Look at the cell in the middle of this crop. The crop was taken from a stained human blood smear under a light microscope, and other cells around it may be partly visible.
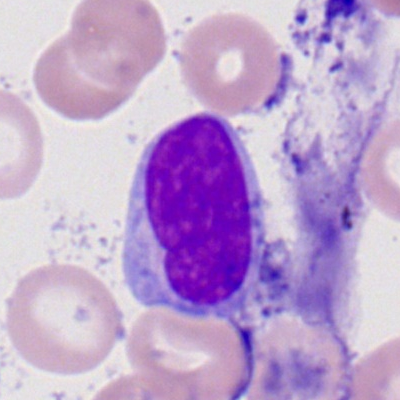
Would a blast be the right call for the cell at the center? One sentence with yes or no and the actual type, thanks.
No, calling it a blast is wrong; the middle cell is a lymphocyte.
